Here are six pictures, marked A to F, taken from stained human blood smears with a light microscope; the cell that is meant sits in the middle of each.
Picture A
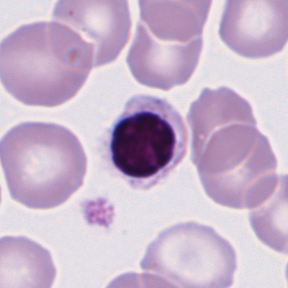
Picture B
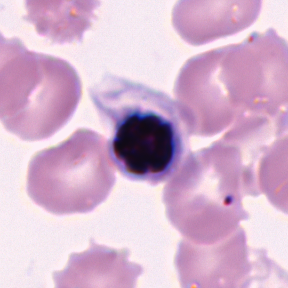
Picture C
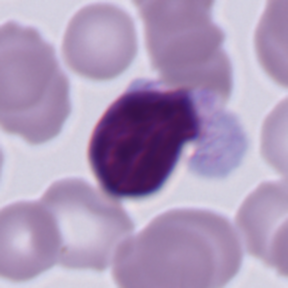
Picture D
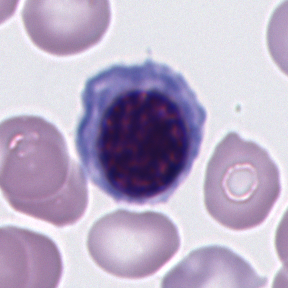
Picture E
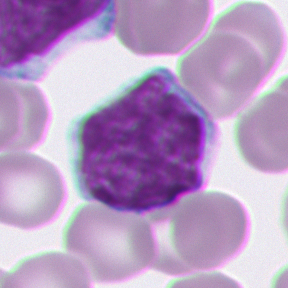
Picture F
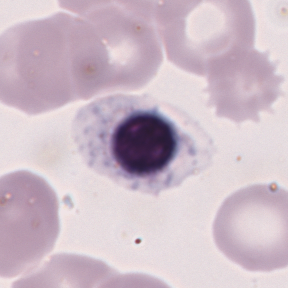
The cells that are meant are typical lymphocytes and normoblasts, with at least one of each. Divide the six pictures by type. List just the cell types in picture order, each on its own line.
normoblast
normoblast
typical lymphocyte
normoblast
typical lymphocyte
normoblast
